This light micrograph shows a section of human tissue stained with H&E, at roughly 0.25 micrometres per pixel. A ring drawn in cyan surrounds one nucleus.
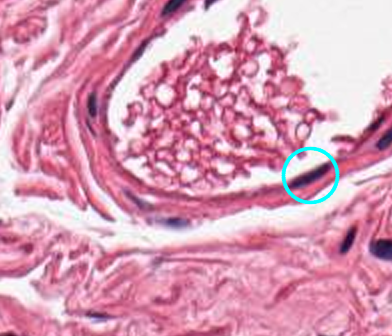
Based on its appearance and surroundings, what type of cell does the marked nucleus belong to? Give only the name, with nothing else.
endothelial cell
